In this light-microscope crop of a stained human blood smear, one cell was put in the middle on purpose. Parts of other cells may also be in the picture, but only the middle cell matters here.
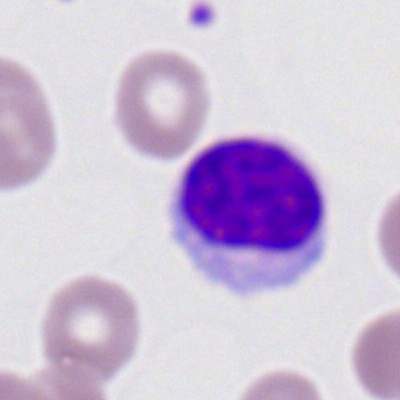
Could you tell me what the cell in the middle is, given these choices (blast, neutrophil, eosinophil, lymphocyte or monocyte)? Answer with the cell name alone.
lymphocyte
